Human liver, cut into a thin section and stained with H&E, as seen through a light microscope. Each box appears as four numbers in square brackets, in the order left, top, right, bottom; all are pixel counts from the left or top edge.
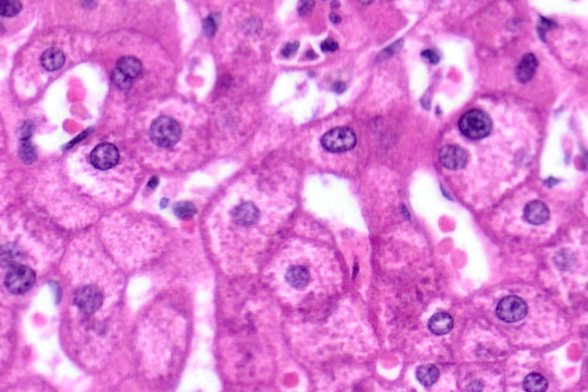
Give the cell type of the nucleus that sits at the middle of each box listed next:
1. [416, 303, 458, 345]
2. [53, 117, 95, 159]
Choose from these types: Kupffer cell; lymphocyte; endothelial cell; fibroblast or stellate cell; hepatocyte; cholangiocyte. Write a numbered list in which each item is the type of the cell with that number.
1. hepatocyte
2. endothelial cell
